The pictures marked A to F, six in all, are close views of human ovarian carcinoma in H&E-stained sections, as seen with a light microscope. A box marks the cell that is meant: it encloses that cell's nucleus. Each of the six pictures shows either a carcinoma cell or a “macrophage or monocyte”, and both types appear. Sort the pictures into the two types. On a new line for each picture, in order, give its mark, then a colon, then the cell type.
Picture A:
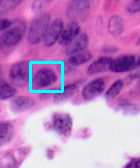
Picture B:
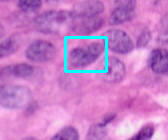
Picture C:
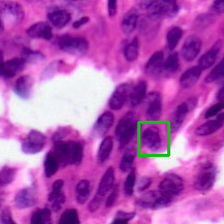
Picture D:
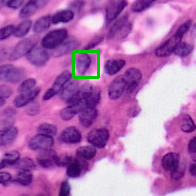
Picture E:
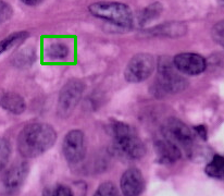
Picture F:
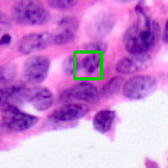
A: carcinoma cell
B: macrophage or monocyte
C: carcinoma cell
D: macrophage or monocyte
E: macrophage or monocyte
F: carcinoma cell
